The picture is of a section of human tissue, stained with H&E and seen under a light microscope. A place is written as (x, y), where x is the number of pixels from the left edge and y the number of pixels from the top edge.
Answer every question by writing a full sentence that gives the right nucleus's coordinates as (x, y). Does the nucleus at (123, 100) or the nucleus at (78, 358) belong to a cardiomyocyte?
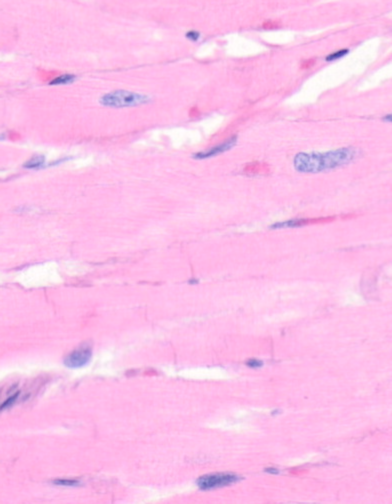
Rather than the other nucleus, the one at (123, 100) belongs to a cardiomyocyte.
